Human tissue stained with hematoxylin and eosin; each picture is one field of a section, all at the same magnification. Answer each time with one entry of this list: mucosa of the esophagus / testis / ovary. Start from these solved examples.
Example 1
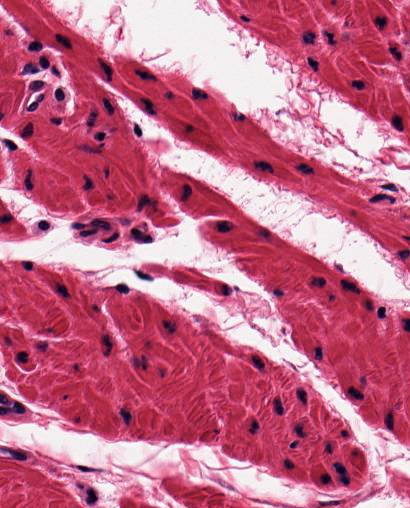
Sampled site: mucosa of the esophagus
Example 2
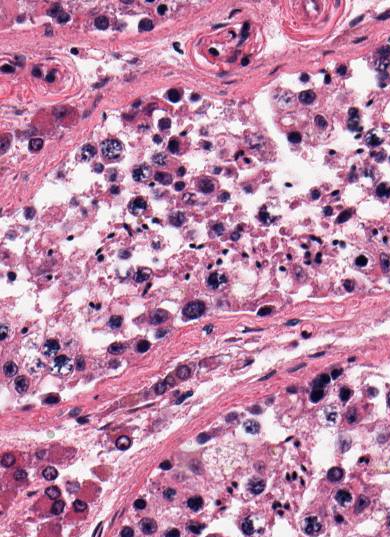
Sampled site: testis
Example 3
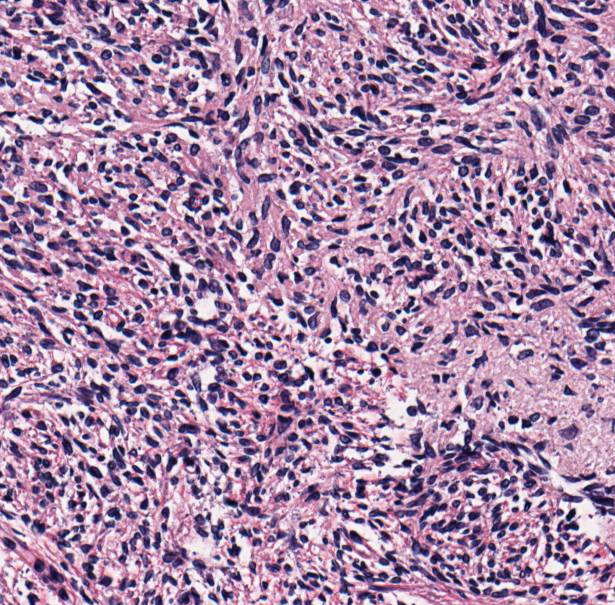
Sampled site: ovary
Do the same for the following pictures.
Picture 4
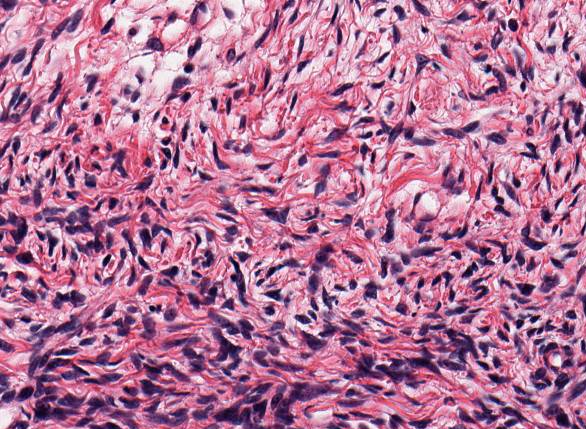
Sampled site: ovary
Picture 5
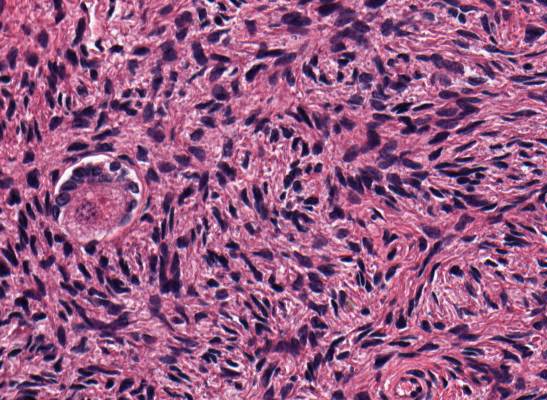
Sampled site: ovary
